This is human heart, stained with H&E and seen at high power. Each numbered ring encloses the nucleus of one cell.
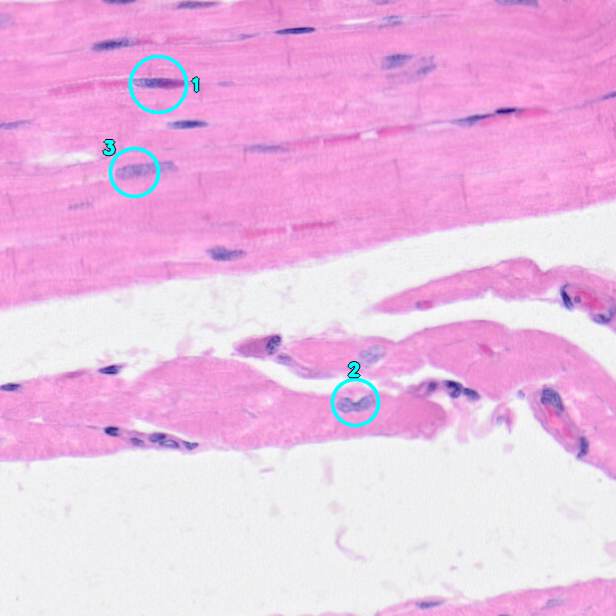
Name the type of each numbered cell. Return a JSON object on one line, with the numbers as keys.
{"1": "endothelial cell", "2": "cardiomyocyte", "3": "cardiomyocyte"}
